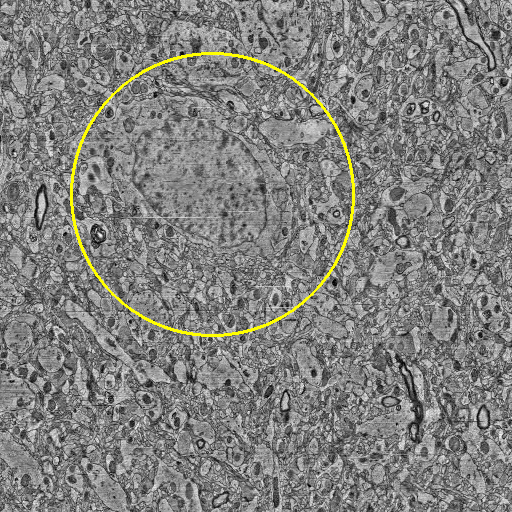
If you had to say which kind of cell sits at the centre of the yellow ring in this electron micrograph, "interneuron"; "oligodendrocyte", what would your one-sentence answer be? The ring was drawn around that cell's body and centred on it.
The cell sitting at the centre of the ring is an interneuron.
